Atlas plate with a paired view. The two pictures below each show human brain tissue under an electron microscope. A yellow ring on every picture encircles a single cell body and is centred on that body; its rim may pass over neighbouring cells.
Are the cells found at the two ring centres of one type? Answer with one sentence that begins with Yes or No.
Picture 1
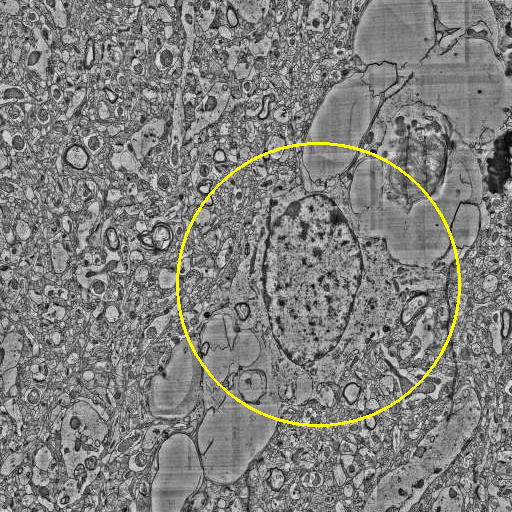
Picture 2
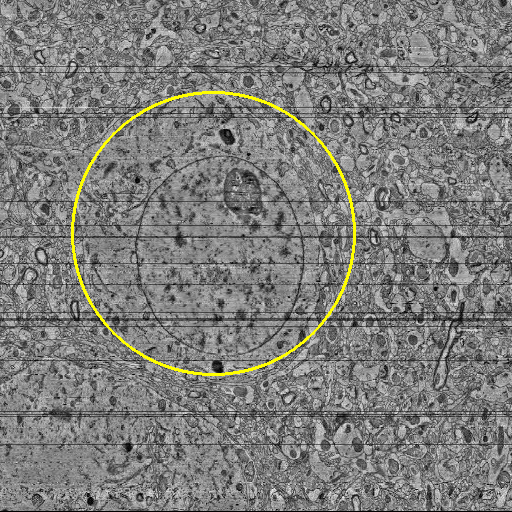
No, the two cells lying at the centres of the rings are of two types.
